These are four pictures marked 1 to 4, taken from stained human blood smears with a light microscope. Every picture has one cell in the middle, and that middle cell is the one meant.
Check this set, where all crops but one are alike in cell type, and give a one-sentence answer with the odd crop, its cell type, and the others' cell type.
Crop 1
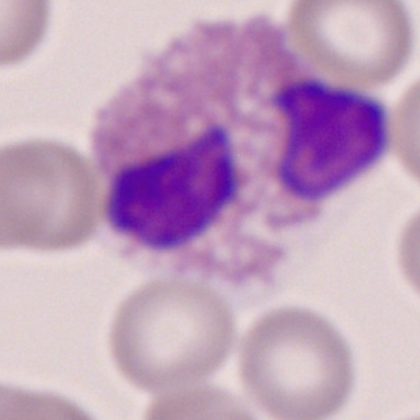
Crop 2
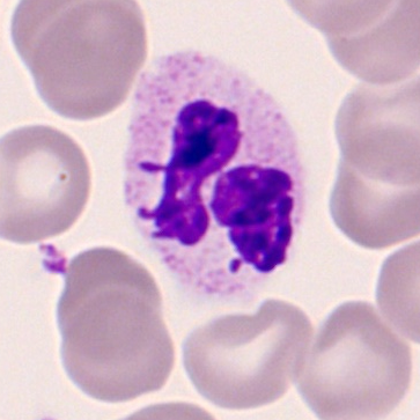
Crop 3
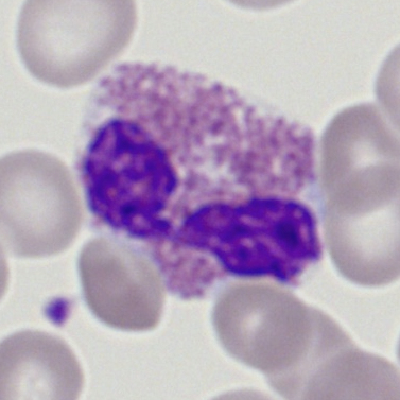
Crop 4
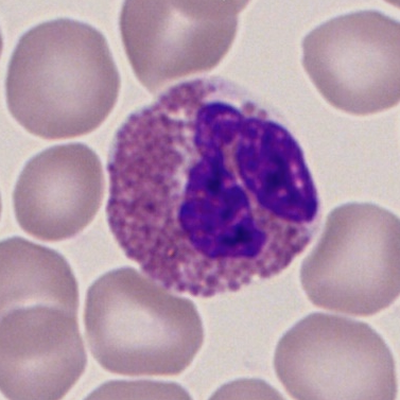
Only crop 2 differs, being a segmented neutrophil, while the others all show eosinophils.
